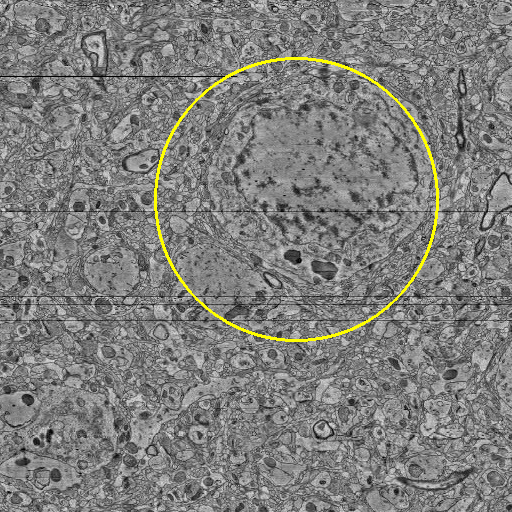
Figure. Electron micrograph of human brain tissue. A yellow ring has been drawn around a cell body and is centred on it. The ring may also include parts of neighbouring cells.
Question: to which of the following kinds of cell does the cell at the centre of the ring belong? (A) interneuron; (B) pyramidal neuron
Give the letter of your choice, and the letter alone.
A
